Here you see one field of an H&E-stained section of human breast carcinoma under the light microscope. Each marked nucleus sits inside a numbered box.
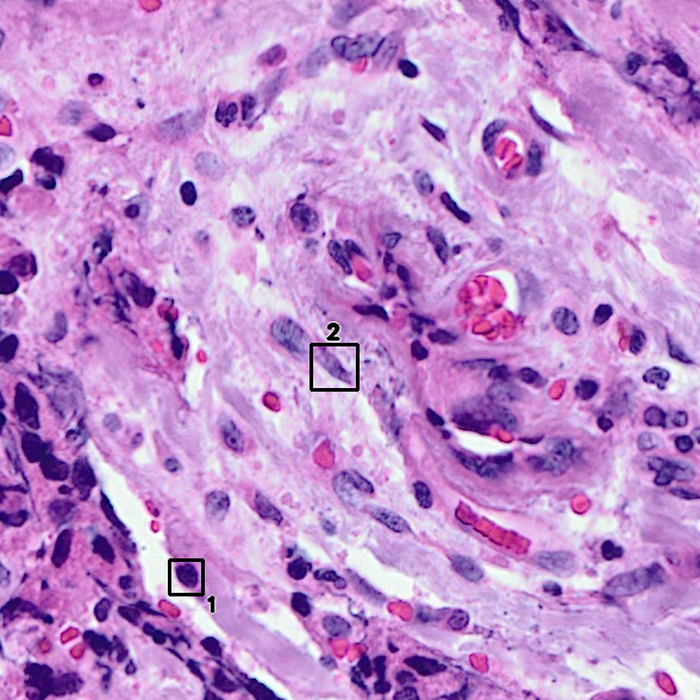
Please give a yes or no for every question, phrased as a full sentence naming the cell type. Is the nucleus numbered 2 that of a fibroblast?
Yes, the cell at marker 2 is a fibroblast.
